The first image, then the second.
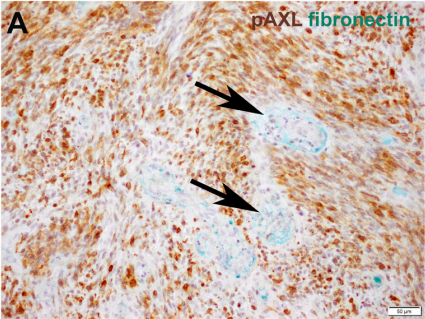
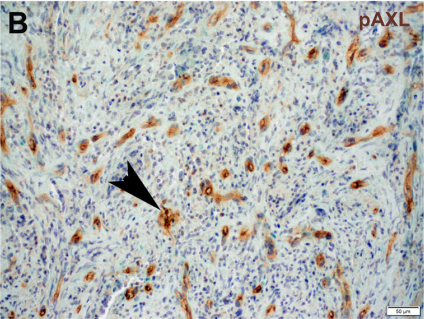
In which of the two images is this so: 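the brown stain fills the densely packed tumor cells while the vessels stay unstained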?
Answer: The first image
